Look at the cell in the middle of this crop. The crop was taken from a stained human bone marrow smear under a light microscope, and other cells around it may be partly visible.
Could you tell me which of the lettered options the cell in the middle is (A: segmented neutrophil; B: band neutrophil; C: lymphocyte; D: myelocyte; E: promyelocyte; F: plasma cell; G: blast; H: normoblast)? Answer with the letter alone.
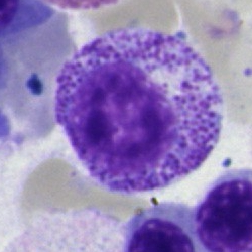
D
